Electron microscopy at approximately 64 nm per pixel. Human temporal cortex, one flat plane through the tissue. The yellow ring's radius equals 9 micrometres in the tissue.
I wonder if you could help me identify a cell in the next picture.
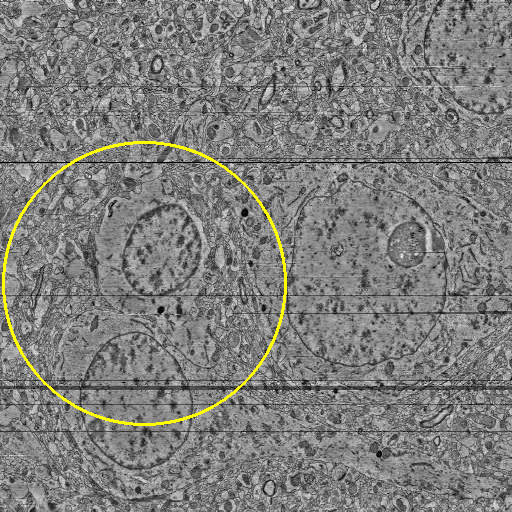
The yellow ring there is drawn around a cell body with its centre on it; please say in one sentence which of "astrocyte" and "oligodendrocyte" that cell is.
The yellow ring is centred on an astrocyte.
